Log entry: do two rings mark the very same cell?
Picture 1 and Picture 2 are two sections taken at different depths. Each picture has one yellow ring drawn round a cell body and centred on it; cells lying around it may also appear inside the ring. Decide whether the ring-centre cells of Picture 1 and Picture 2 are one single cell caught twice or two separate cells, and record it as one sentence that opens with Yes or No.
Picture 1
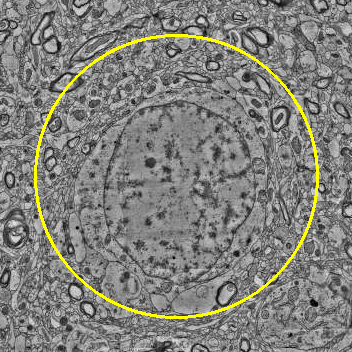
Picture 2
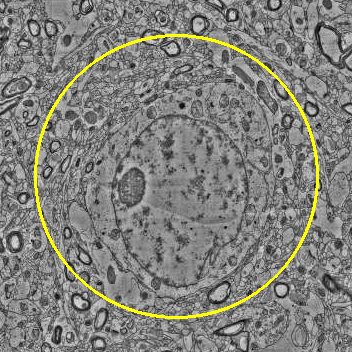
Yes, the two rings encircle a single cell, not a pair.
